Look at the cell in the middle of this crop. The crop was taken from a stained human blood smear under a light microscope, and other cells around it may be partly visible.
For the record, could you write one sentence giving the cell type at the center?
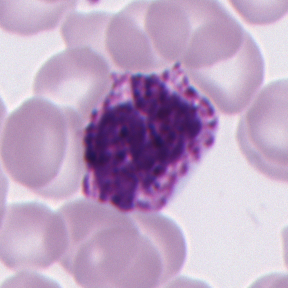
Standing at the centre of this crop is a basophil.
